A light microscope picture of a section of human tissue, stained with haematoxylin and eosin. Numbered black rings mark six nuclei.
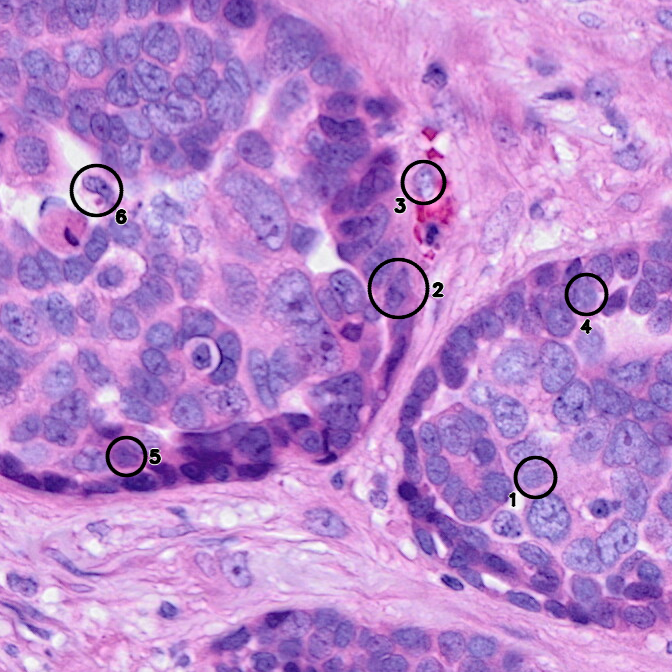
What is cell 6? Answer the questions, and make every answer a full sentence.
Here, the cell given the number 6 is a macrophage or monocyte.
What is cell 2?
Cell 2, as marked in the section, is a carcinoma cell.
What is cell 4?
The cell assigned the number 4 is a carcinoma cell.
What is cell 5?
Cell 5, among those numbered, is a carcinoma cell.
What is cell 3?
The cell tagged with 3 in this tissue section is an endothelial cell.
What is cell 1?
The cell pointed out as number 1 is a carcinoma cell.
